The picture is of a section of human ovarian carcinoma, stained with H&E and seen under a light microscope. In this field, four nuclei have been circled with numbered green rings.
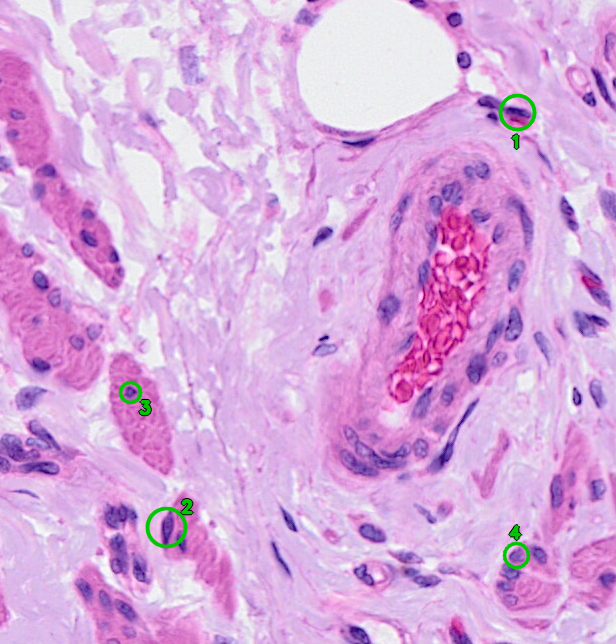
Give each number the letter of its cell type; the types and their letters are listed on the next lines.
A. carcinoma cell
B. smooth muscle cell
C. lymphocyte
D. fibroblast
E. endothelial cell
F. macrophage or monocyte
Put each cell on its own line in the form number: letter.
1: E
2: B
3: B
4: B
